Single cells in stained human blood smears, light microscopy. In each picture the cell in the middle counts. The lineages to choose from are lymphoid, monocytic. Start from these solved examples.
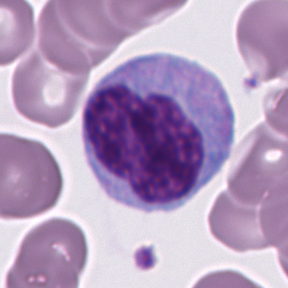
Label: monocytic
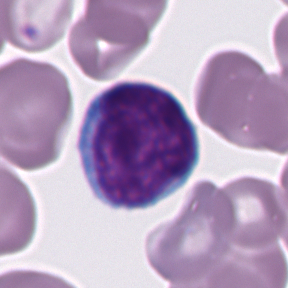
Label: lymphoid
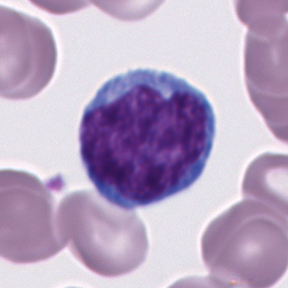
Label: monocytic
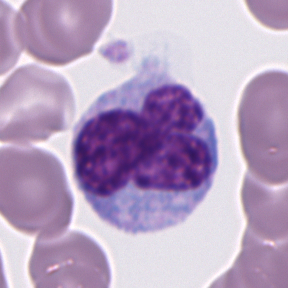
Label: monocytic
